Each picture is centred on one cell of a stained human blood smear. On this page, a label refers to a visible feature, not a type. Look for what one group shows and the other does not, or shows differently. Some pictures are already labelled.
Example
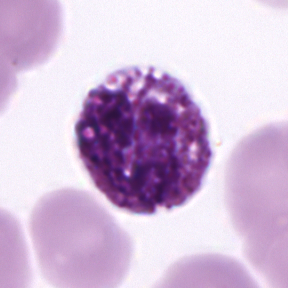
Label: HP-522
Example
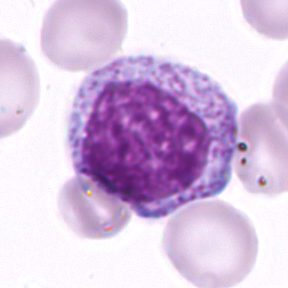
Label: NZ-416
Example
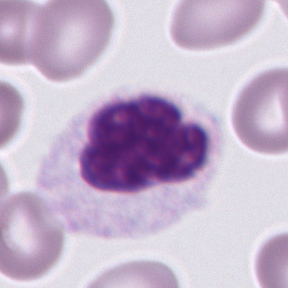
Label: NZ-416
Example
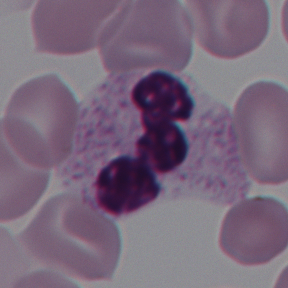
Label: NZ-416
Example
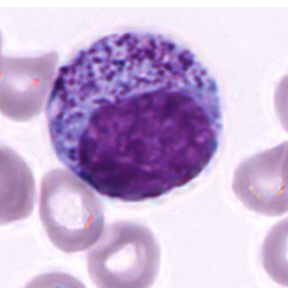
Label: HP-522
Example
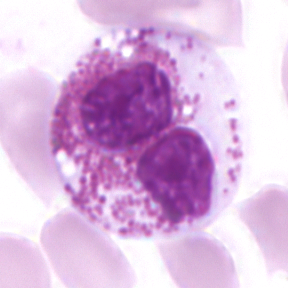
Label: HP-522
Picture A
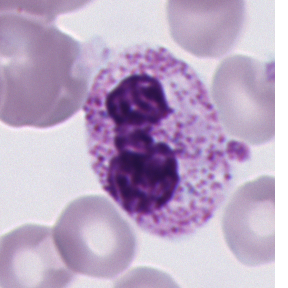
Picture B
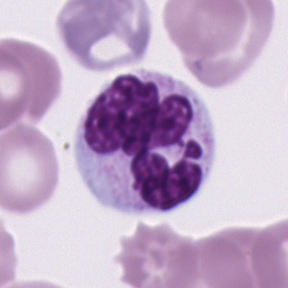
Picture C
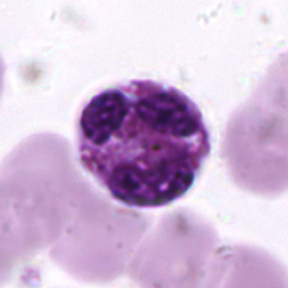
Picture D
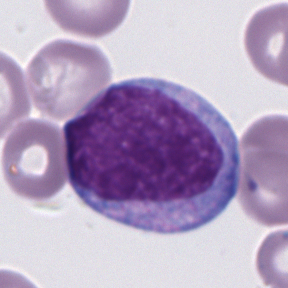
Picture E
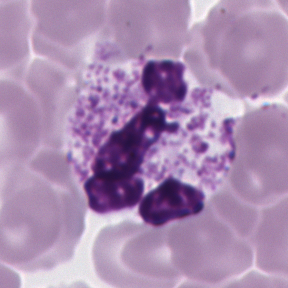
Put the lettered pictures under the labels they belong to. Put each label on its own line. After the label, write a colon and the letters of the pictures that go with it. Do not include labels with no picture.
HP-522: A, E
NZ-416: B, C, D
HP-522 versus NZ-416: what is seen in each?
Seen in HP-522: coarse or large granules; seen in NZ-416: fine or small granules.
